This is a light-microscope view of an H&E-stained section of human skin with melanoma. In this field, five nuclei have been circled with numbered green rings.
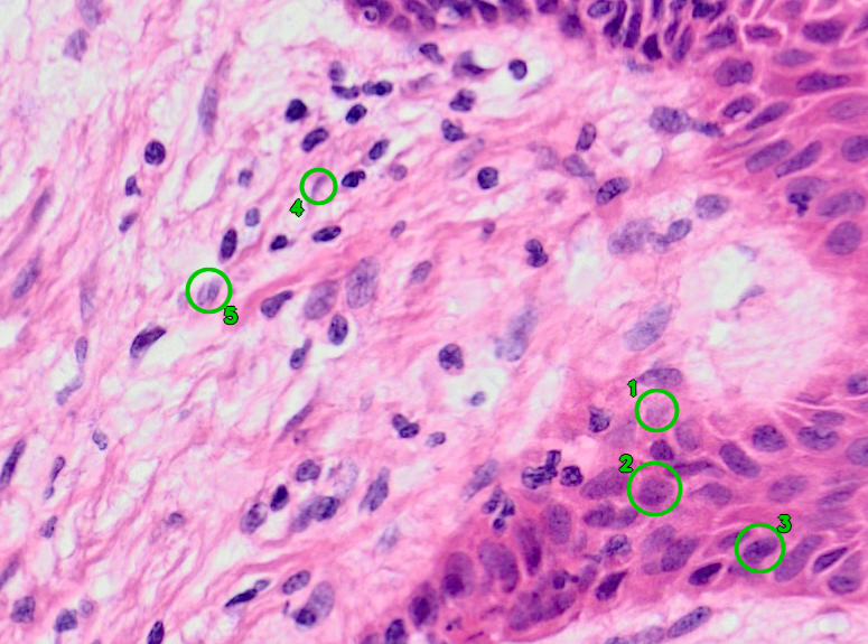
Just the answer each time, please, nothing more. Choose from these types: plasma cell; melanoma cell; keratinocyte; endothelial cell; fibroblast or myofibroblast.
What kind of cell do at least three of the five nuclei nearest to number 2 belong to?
keratinocyte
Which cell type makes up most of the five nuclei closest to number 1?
keratinocyte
